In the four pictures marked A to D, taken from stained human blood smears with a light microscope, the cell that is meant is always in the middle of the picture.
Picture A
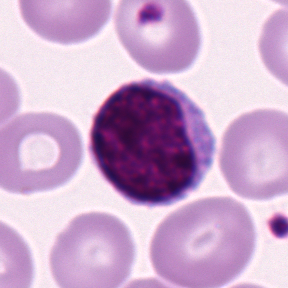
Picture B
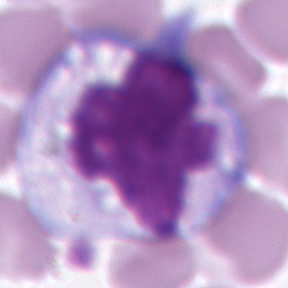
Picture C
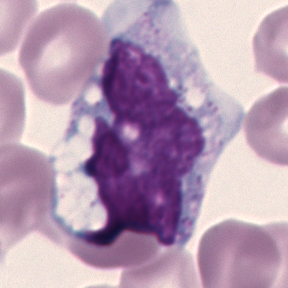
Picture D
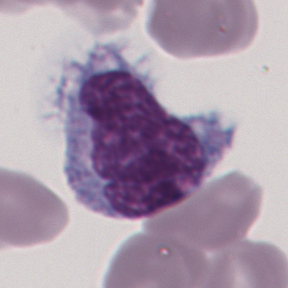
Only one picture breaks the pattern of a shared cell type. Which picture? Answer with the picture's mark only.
A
